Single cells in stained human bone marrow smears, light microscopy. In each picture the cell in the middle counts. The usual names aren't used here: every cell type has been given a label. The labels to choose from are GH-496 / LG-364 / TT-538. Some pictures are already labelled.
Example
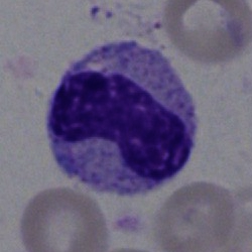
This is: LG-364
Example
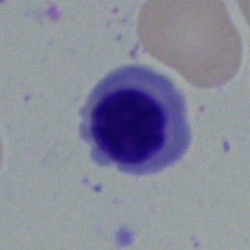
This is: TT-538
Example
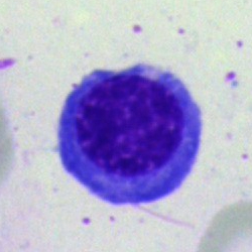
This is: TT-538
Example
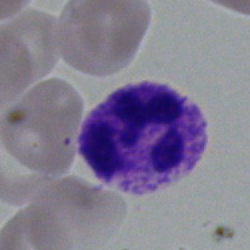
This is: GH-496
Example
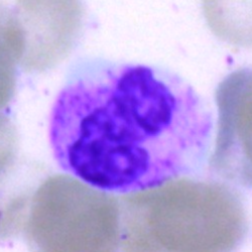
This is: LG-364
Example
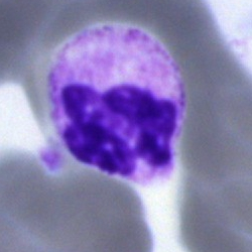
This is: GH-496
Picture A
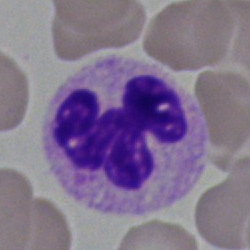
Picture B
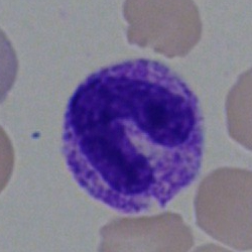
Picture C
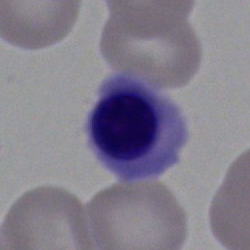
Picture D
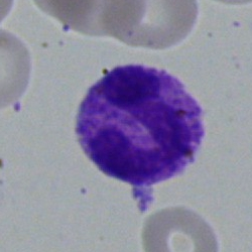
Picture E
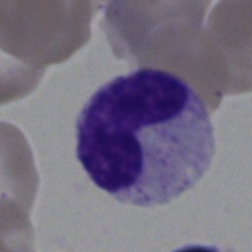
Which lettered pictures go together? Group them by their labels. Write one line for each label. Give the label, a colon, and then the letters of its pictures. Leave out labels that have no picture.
GH-496: A, D
LG-364: B, E
TT-538: C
